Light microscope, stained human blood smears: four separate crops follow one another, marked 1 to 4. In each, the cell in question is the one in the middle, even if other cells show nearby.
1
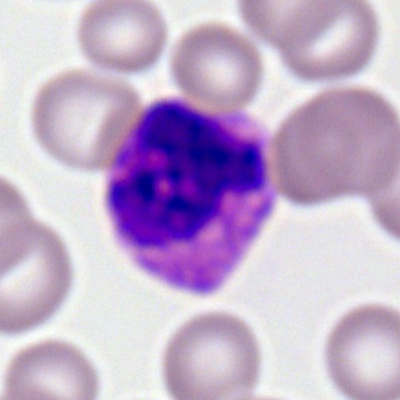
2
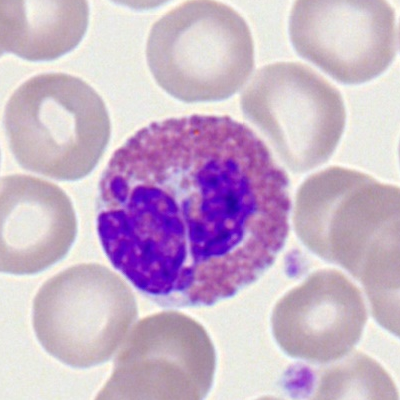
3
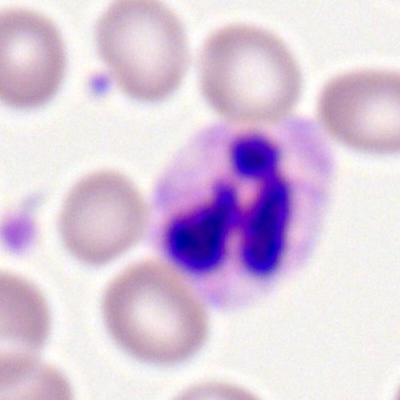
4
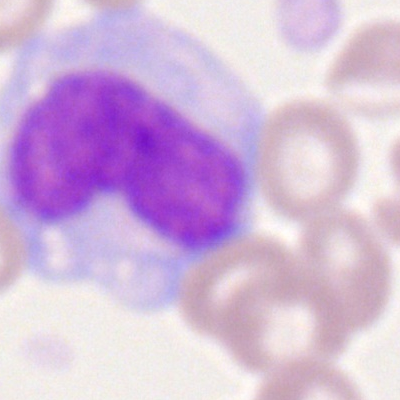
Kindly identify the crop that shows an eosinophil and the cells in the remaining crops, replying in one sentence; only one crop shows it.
Crop 2 is where an eosinophil is shown, whereas crop 1 is a basophil, crop 3 is a segmented neutrophil and crop 4 is a monocyte.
